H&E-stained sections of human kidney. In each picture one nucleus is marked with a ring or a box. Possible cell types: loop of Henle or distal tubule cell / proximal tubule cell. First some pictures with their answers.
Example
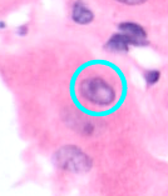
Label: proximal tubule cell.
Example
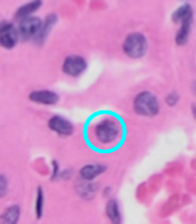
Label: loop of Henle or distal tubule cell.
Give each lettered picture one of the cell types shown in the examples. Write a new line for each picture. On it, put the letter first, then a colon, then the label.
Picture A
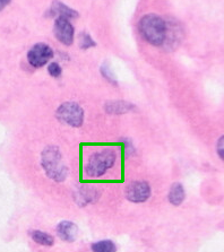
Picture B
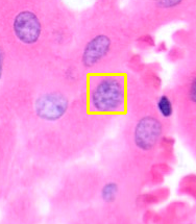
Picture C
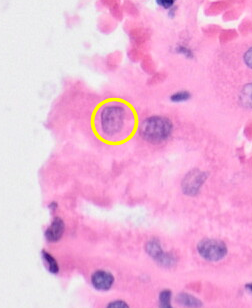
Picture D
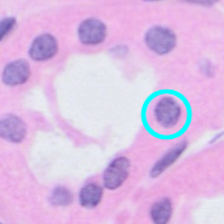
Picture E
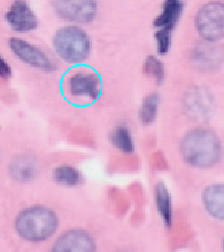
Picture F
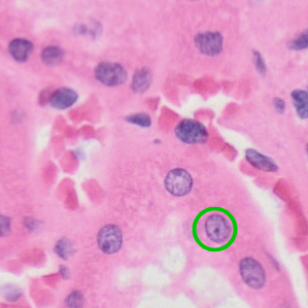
A: loop of Henle or distal tubule cell.
B: proximal tubule cell.
C: proximal tubule cell.
D: loop of Henle or distal tubule cell.
E: loop of Henle or distal tubule cell.
F: proximal tubule cell.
